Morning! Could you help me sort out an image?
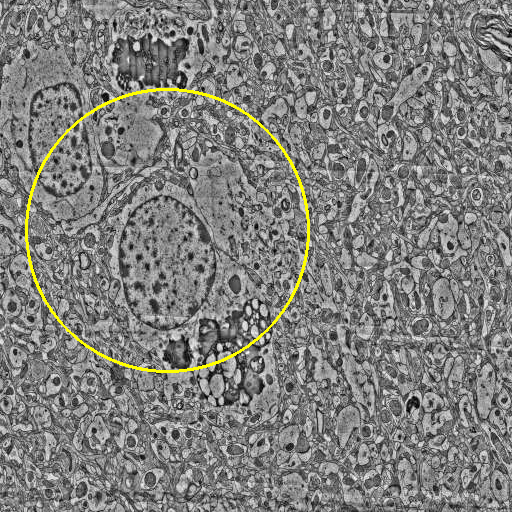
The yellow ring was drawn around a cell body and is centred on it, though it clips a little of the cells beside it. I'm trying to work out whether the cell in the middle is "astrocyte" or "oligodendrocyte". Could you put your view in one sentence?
The ringed cell body is that of an astrocyte.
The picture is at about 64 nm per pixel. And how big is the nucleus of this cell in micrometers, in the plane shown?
In this plane, roughly 8 by 6 micrometres.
